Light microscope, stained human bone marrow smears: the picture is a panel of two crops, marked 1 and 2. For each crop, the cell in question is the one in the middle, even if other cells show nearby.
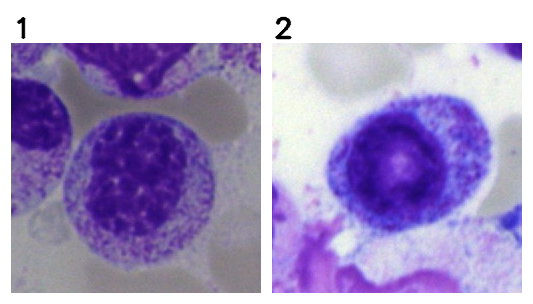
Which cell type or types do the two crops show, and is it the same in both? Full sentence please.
Yes, both crops show myelocytes, each crop centred on one of them.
